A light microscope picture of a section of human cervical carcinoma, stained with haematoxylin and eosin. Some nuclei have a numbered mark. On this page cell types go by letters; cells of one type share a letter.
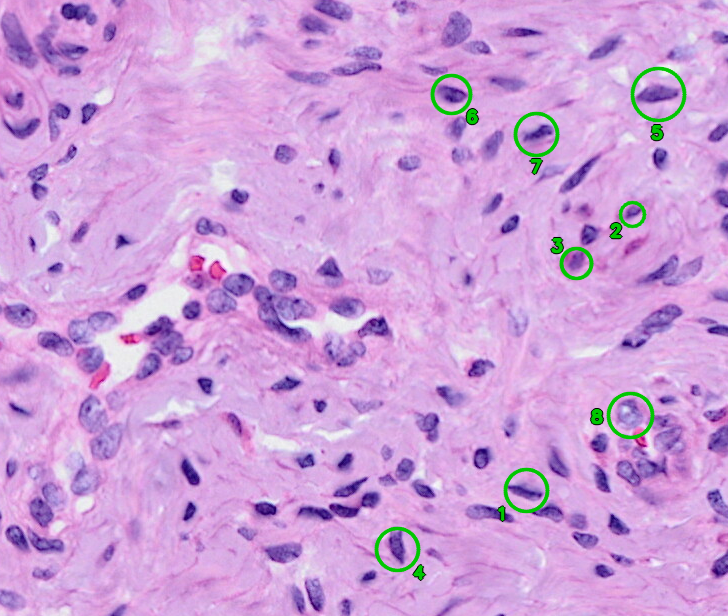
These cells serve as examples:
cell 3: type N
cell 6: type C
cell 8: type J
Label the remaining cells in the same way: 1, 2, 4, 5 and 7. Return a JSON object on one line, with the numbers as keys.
{"1": "type C", "2": "type N", "4": "type C", "5": "type C", "7": "type C"}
